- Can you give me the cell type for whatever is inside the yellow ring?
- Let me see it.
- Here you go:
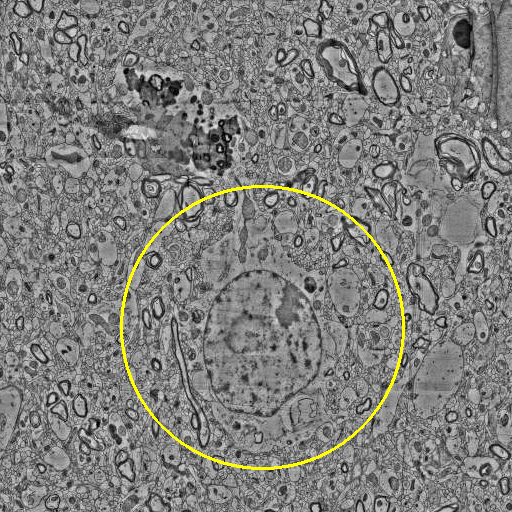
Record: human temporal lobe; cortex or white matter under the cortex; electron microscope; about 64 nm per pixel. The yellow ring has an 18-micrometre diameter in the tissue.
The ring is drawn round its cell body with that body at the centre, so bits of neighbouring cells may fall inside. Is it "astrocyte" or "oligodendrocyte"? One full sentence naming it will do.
The cell body in the middle of the ring in this picture belongs to an astrocyte.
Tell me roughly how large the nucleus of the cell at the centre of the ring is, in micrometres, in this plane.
In this plane the nucleus measures roughly 9 by 8 micrometers.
